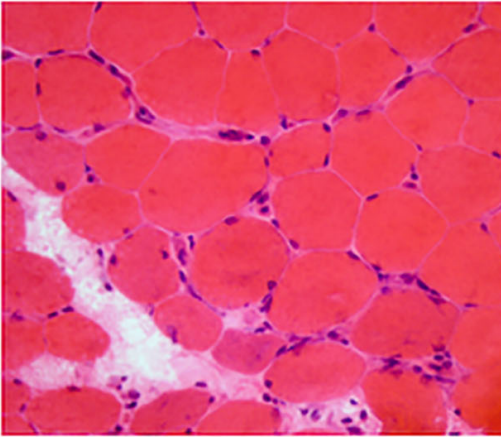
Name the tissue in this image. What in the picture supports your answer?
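Large polygonal pink-staining fibers cut in cross-section. Flattened dark nuclei sit at the edges of the fibers. Thin pale connective tissue separates the fibers.
Hence: muscle fibers.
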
